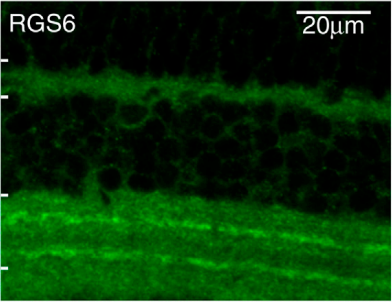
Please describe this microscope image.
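This is a section of retina showing its stacked layers, with green staining concentrated in two plexiform layers. At the top lies a dark layer crossed by faint vertical green streaks, the outer nuclear layer. Beneath it runs a thin continuous green band, the outer plexiform layer. Below that is a layer of closely packed dark round cell bodies, each outlined by faint green rims. At the bottom lies a broad, finely granular green layer with no cell bodies, the inner plexiform layer, in which two thin, brighter green bands run parallel across the section; these are bands of synaptic processes.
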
